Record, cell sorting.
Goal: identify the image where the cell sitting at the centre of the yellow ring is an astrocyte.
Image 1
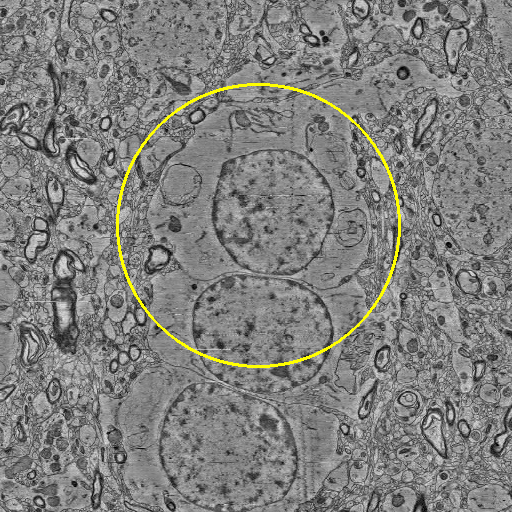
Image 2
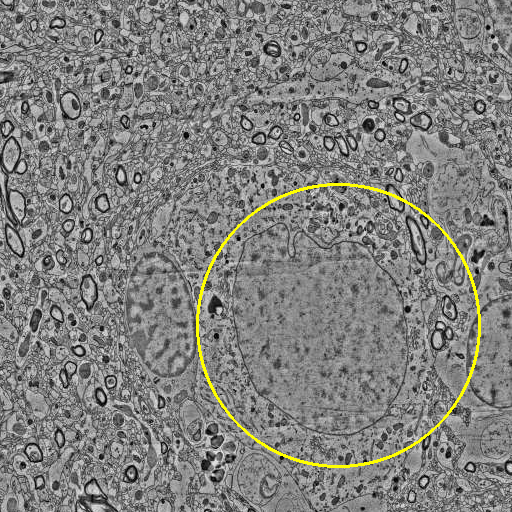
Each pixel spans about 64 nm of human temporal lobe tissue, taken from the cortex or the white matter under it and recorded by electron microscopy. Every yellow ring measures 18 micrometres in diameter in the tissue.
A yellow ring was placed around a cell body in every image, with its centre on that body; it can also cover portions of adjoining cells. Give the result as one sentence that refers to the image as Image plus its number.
Image 1 shows the requested cell sitting right at the centre of its ring.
